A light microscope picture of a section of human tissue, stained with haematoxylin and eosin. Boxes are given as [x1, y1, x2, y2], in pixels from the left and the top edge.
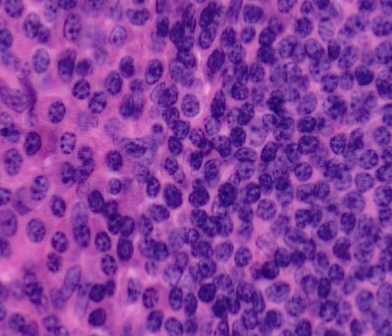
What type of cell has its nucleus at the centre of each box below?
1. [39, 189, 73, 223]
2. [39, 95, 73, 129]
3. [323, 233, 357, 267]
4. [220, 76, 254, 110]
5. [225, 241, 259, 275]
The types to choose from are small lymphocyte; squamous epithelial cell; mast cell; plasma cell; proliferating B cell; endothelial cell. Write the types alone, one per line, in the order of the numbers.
plasma cell
plasma cell
small lymphocyte
small lymphocyte
small lymphocyte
